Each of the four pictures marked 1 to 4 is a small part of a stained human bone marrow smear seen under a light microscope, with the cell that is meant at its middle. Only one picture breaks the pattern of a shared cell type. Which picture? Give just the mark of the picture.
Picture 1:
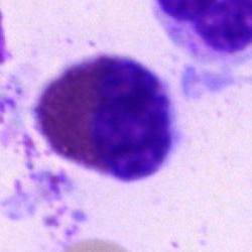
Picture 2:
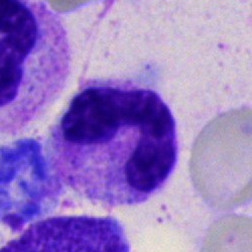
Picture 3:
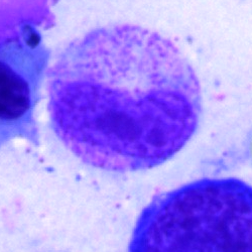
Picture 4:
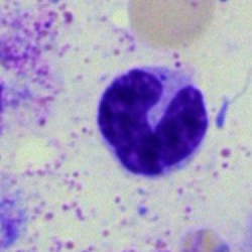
1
